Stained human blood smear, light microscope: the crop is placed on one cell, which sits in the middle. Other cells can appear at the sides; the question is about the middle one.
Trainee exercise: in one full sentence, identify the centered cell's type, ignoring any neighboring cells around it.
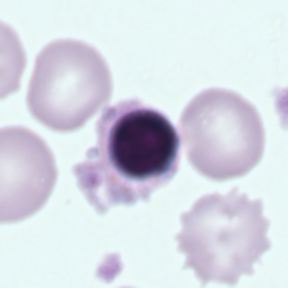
What sits at the centre of this crop is a normoblast.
